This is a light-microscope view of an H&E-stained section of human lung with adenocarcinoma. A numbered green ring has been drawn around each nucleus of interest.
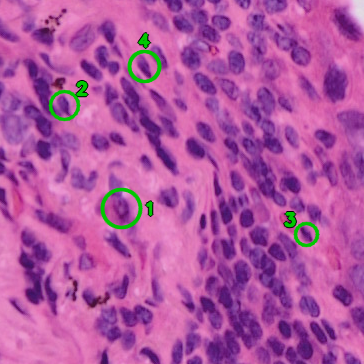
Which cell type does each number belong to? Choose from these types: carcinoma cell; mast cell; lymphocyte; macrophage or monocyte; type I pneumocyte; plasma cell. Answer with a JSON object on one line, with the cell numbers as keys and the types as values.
{"1": "plasma cell", "2": "lymphocyte", "3": "lymphocyte", "4": "lymphocyte"}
